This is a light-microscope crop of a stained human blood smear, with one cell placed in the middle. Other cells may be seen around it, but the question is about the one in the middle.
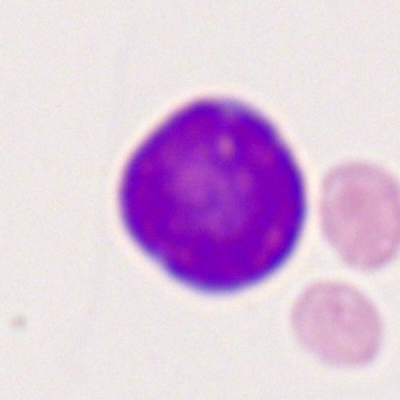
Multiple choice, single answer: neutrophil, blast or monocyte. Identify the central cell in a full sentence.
The crop centres on a single cell, and that cell is a blast.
